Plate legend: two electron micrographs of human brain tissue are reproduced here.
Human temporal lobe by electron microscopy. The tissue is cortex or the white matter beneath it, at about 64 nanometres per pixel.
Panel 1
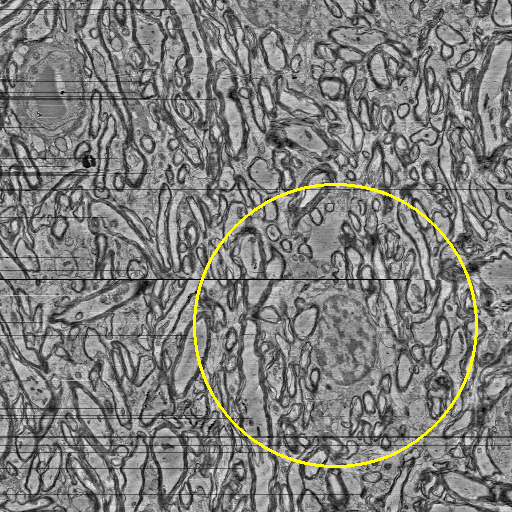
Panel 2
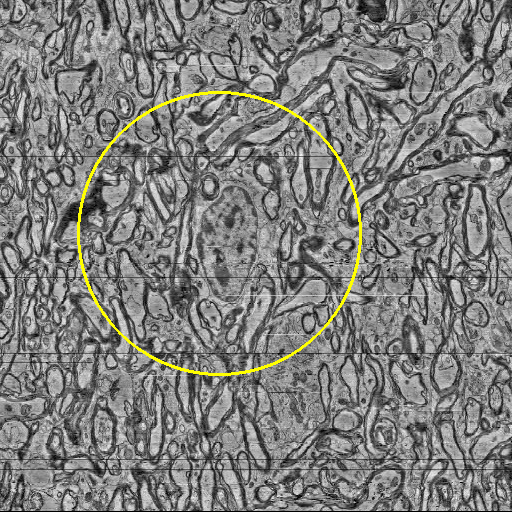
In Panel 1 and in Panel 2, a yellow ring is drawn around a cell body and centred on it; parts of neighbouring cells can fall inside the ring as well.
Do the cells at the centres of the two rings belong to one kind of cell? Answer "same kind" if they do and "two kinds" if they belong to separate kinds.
two kinds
